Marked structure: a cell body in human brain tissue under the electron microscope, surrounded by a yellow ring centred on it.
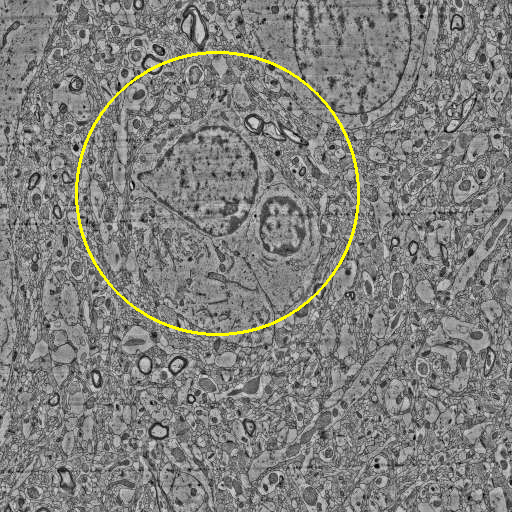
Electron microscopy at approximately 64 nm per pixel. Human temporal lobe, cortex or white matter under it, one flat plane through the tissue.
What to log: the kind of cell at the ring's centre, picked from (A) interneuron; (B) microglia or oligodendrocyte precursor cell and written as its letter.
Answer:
B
